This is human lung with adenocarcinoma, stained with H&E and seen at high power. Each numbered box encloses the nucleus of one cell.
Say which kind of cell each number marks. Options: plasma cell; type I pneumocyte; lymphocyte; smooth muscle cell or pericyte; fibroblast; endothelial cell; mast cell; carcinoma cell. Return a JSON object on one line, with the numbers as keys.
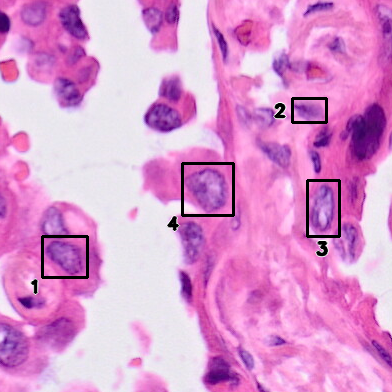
{"1": "carcinoma cell", "2": "fibroblast", "3": "carcinoma cell", "4": "carcinoma cell"}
